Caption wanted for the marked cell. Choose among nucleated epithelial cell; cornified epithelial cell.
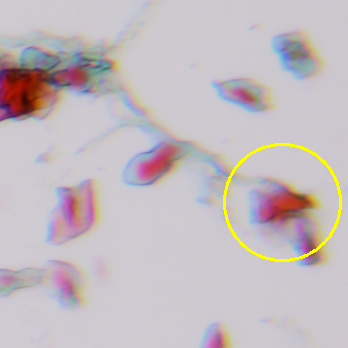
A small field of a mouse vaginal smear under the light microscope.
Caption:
Ringed in yellow is a cornified epithelial cell.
